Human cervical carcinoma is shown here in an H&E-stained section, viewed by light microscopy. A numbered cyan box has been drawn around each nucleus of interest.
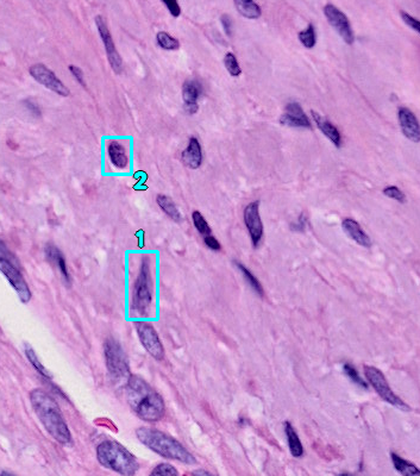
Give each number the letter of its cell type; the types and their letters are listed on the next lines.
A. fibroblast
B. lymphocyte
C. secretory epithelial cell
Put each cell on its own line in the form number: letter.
1: A
2: B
